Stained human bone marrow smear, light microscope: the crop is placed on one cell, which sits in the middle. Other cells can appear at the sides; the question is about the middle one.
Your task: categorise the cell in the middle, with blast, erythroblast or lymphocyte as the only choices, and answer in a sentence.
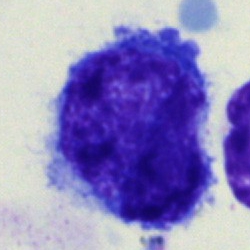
In the central position of this crop, the cell is a blast.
